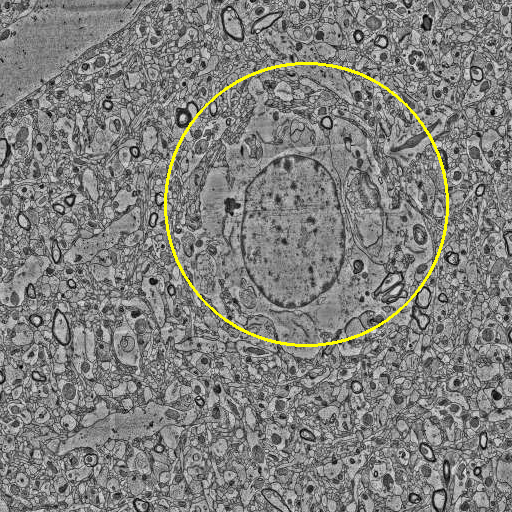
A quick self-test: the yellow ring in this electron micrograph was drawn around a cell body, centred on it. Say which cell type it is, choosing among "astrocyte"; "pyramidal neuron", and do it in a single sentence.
The yellow-ringed cell is an astrocyte.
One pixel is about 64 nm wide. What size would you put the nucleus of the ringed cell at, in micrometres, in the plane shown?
Roughly 10 micrometres by 7 micrometres, so the nucleus is clearly longer than it is wide in this plane.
